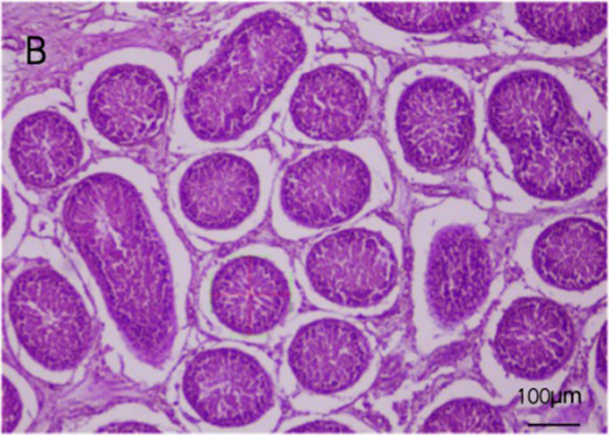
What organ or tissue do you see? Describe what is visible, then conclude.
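Numerous round and elongated tubule profiles packed closely together. Thin strands of interstitial tissue separate the tubules.
Hence: Testicular tissue.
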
